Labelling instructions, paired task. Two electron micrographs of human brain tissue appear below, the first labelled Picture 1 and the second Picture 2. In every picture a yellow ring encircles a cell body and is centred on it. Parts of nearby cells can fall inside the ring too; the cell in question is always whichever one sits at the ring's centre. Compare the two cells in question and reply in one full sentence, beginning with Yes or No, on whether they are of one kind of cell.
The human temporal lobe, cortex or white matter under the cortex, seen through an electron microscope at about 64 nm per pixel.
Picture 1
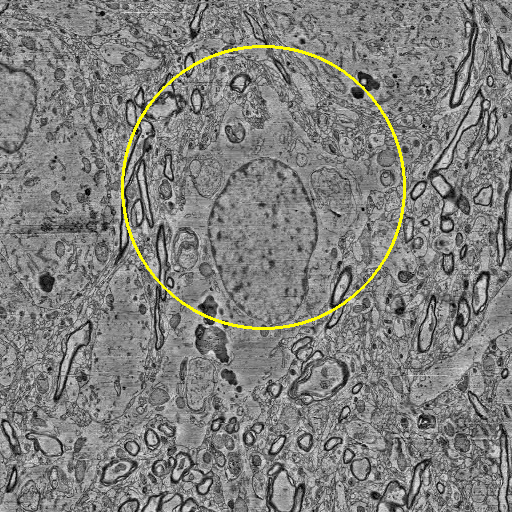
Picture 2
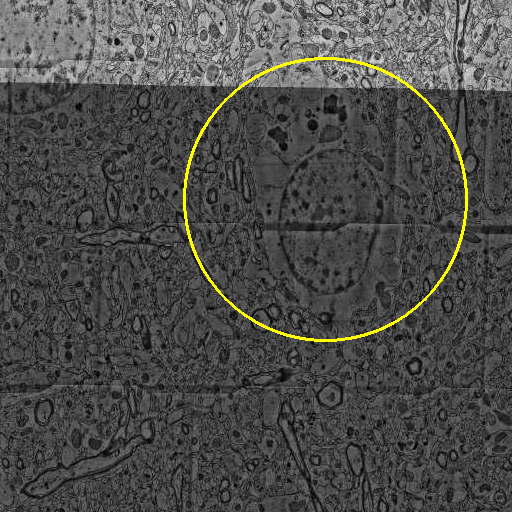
Yes, the two cells at the ring centres in Picture 1 and Picture 2 are of one kind.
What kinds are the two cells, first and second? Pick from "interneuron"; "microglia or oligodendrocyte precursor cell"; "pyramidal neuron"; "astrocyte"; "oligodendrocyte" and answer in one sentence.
Both pictures show an astrocyte at the centre of the ring.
